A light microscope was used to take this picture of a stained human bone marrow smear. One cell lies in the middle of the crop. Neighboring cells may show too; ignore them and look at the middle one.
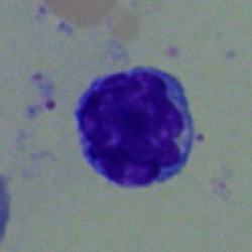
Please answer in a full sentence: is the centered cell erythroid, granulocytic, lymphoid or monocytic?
The cell sitting in the middle of this crop is of the lymphoid line.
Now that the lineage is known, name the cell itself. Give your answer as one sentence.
The middle of this crop is occupied by a lymphocyte.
